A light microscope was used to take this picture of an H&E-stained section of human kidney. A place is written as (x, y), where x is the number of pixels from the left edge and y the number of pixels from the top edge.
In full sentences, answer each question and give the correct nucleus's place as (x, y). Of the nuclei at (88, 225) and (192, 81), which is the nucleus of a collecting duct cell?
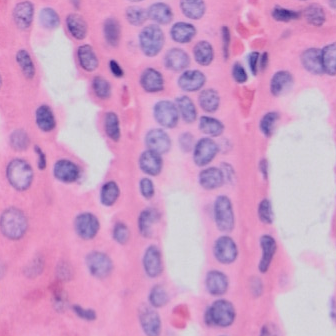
Lying within a collecting duct cell is the nucleus at (192, 81).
